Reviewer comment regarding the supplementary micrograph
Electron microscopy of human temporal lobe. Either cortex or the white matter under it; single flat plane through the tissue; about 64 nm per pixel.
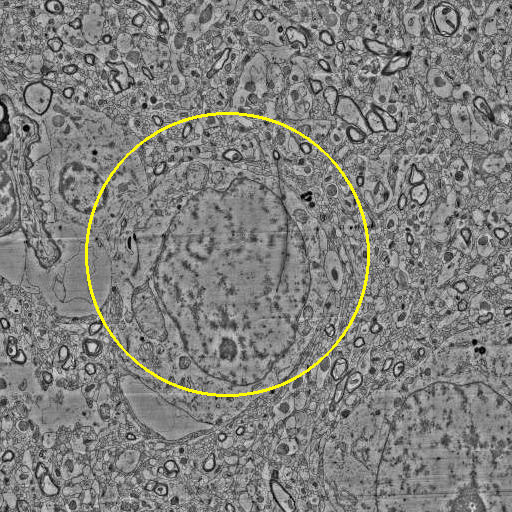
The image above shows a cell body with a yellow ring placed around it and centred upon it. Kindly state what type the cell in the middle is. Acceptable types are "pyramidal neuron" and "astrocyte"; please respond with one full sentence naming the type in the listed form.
In the image above, the cell on which the yellow ring is centred is a pyramidal neuron.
